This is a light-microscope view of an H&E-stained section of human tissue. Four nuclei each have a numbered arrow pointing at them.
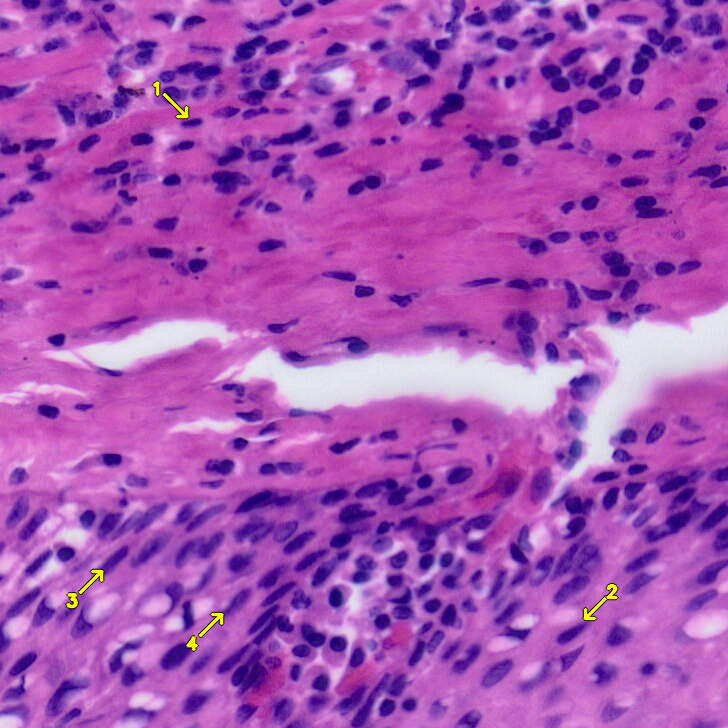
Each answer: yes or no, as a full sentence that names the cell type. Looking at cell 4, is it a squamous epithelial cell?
Yes, the one with the number 4 is a squamous epithelial cell.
